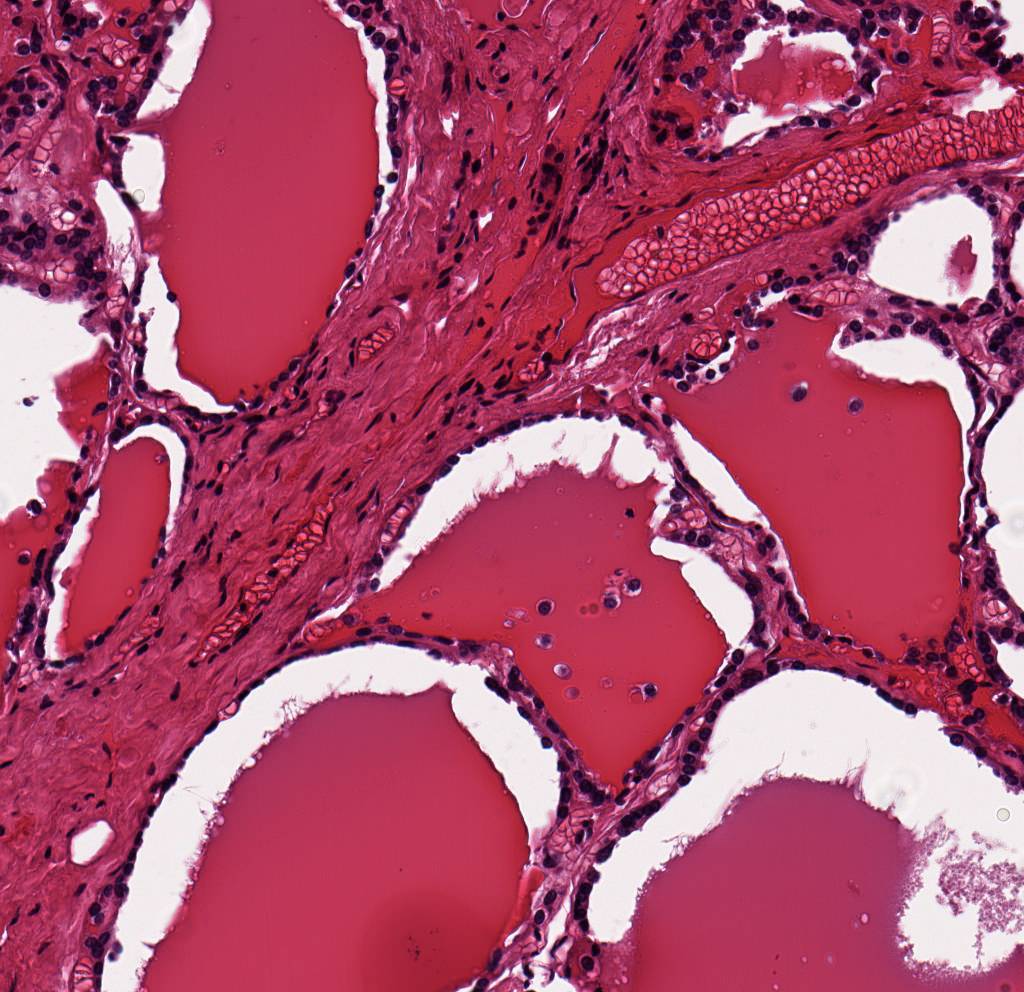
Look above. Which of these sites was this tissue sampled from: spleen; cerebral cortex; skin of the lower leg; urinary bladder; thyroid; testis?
thyroid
